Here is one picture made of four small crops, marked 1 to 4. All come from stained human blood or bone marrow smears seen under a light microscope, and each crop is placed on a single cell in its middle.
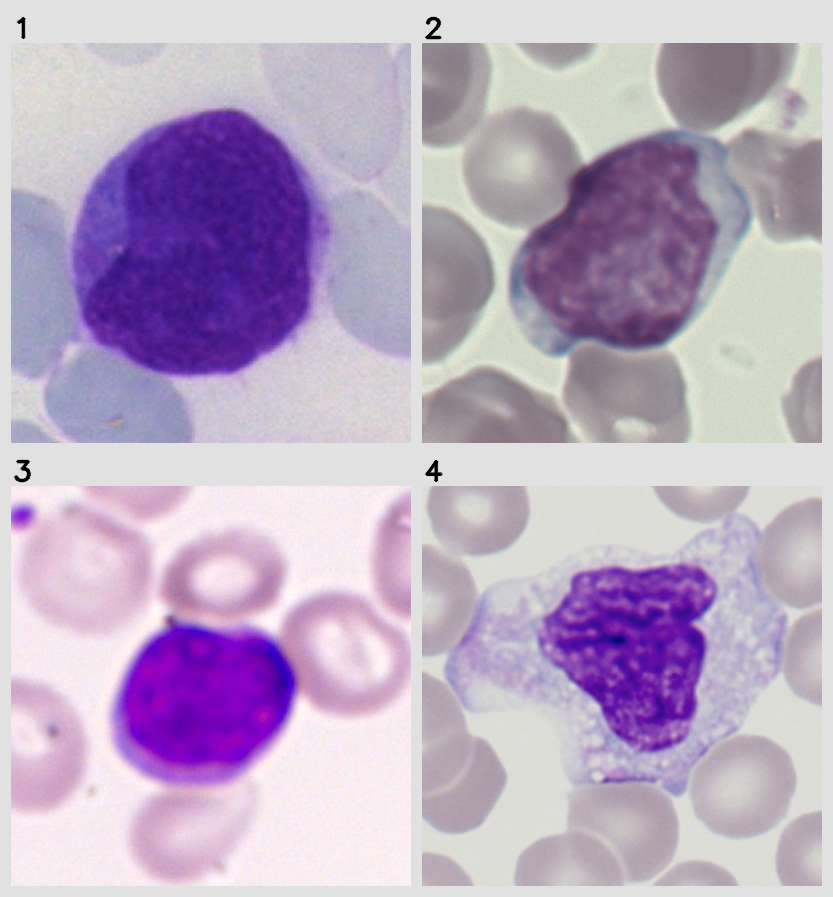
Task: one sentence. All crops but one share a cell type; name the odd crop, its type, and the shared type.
Crop 4 stands apart from the rest as a monocyte, the others all being blasts.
